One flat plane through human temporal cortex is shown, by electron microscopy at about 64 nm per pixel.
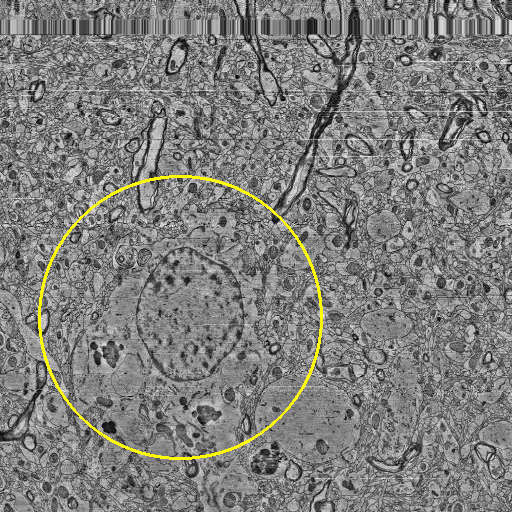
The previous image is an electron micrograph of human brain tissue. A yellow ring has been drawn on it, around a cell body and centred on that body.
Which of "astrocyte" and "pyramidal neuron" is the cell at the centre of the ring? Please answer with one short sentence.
The cell body at the centre of the ring belongs to an astrocyte.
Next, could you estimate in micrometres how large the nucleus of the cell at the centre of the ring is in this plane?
In this plane the nucleus measures roughly 9 by 7 micrometres.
